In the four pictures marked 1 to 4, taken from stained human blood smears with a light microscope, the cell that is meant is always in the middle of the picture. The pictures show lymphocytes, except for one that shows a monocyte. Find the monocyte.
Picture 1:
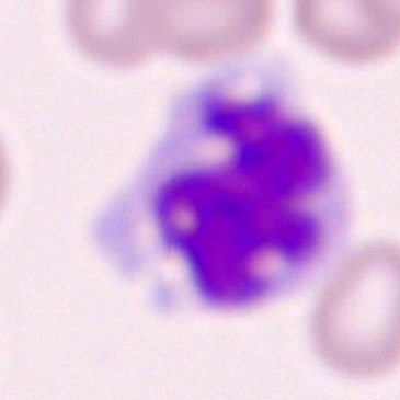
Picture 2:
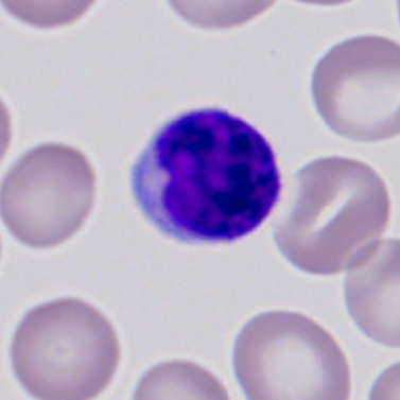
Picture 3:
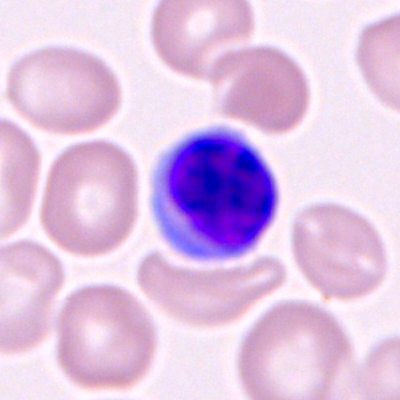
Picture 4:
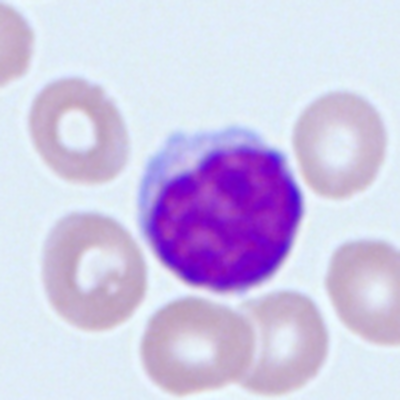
1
